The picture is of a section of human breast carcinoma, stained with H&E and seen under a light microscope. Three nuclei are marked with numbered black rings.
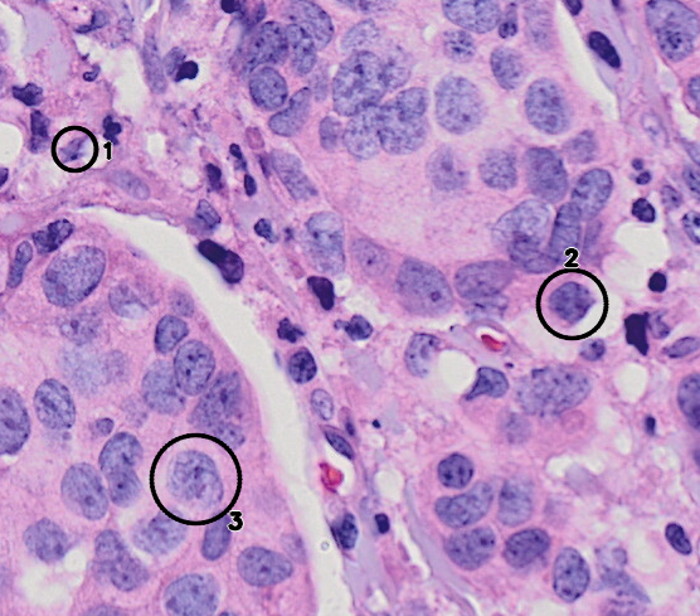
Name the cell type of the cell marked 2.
carcinoma cell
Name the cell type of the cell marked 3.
carcinoma cell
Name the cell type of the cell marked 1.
macrophage, monocyte or dendritic cell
